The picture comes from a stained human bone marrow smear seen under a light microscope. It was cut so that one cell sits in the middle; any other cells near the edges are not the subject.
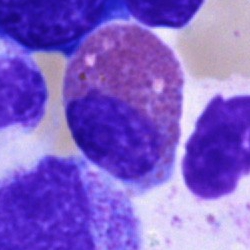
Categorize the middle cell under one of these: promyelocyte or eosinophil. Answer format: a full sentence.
In the center of this field lies an eosinophil.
